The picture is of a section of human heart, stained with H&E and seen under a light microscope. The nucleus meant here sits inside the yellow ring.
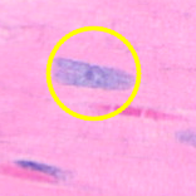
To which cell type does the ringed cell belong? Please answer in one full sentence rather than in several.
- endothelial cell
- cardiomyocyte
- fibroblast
In the context of this tissue, the ringed cell is a cardiomyocyte.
